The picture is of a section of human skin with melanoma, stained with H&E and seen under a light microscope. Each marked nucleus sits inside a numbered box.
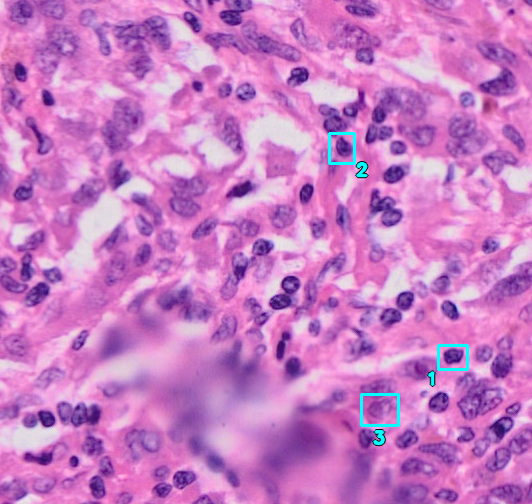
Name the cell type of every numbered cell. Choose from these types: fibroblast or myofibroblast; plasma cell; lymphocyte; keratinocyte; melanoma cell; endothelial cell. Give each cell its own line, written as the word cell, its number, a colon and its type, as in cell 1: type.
cell 1: lymphocyte
cell 2: lymphocyte
cell 3: melanoma cell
